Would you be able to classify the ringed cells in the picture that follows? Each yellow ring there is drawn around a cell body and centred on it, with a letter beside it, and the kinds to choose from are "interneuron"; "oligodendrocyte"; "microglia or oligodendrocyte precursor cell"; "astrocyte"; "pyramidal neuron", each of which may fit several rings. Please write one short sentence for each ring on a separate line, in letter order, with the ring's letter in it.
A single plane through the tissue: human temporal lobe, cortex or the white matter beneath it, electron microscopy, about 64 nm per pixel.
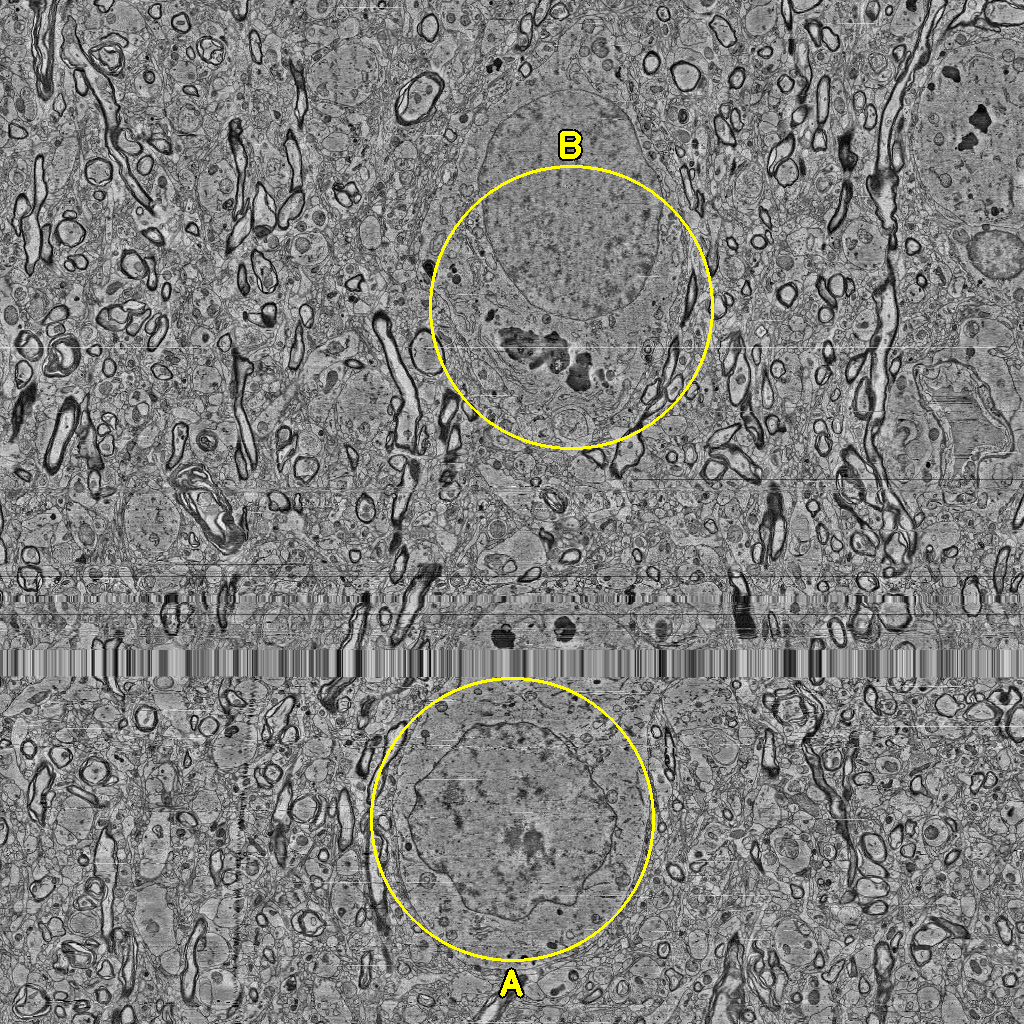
The cell body at the centre of ring A belongs to a pyramidal neuron.
The cell body at the centre of ring B belongs to an interneuron.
